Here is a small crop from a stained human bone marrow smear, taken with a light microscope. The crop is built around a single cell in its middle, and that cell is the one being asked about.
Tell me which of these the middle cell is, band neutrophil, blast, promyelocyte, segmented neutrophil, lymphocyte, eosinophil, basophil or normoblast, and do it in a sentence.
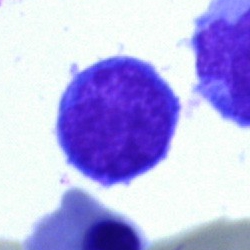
The crop centres on a single cell, and that cell is a blast.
